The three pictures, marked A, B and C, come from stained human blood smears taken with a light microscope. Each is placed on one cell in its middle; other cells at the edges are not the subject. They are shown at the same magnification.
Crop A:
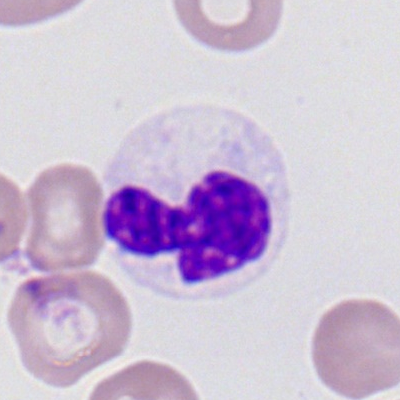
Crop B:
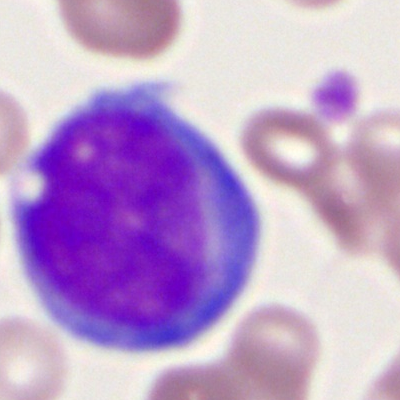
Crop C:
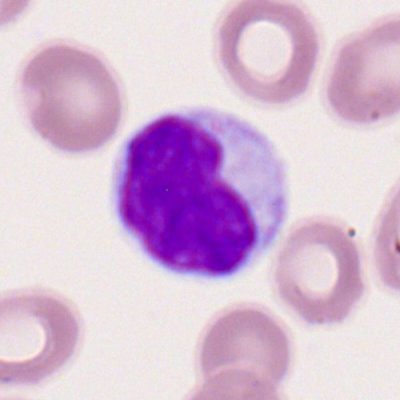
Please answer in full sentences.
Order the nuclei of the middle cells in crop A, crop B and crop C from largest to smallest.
From the largest down, the order is B, C, A.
